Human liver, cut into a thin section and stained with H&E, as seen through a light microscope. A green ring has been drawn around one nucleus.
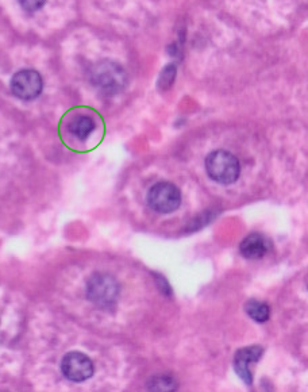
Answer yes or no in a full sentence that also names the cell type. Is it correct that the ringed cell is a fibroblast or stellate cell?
Yes, what the ringed cell represents in this tissue is a fibroblast or stellate cell.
